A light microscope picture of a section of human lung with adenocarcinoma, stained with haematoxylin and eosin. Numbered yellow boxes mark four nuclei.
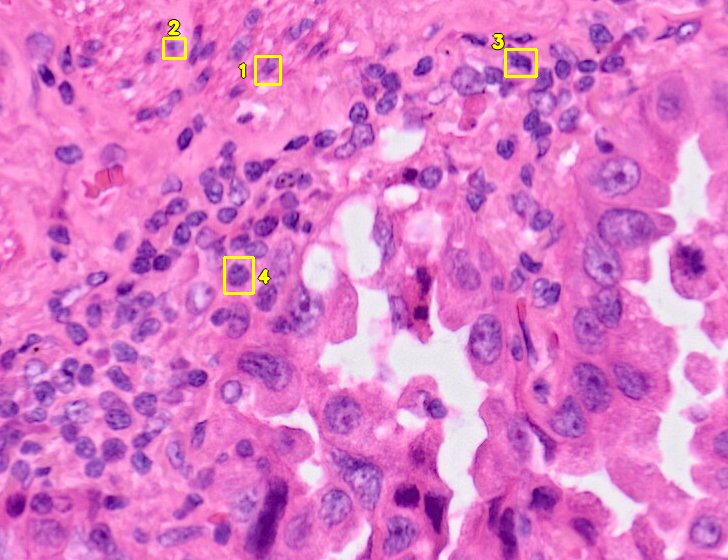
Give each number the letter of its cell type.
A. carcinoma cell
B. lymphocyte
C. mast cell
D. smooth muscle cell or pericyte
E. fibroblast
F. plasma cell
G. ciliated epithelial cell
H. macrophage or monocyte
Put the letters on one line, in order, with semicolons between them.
D; D; B; B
